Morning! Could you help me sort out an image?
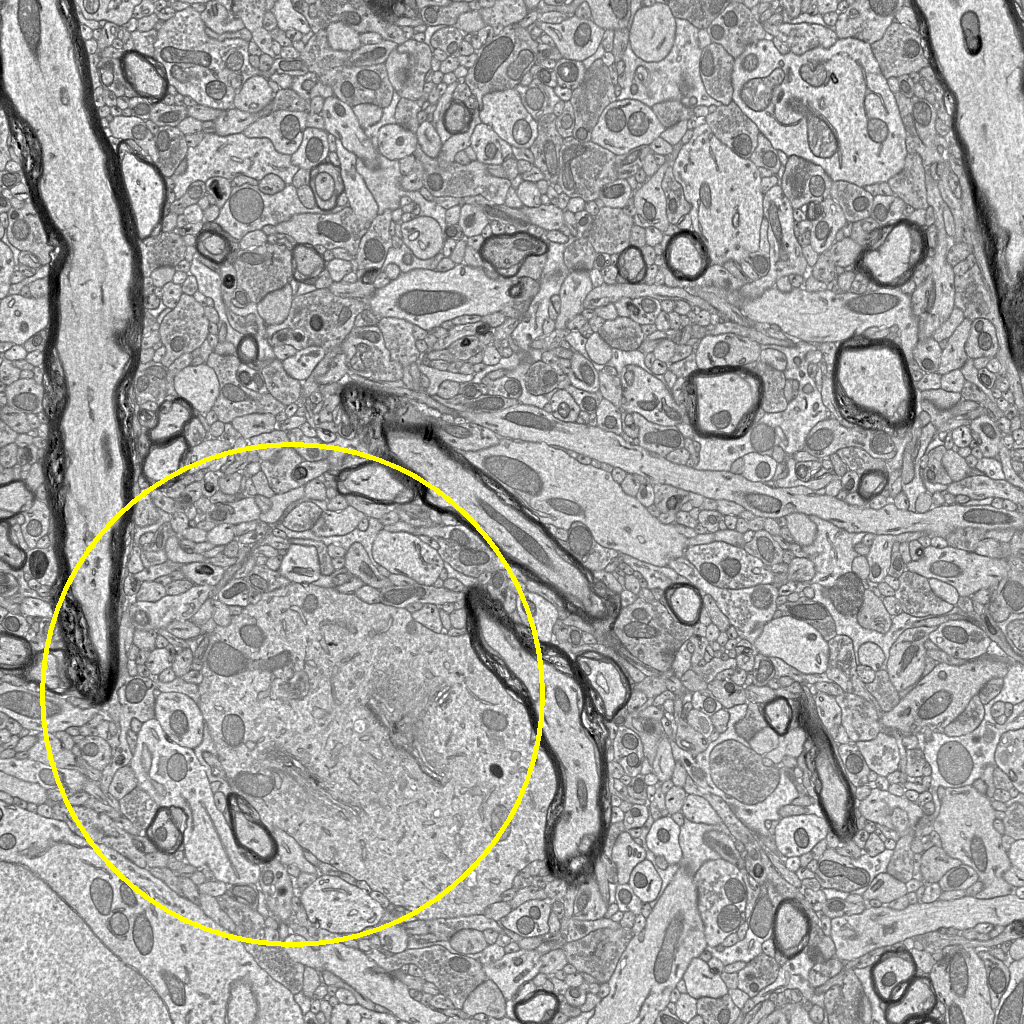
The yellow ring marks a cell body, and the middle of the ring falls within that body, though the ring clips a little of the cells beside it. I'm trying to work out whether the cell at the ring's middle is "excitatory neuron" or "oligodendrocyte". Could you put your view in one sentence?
The cell body at the ring's middle is that of an oligodendrocyte.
